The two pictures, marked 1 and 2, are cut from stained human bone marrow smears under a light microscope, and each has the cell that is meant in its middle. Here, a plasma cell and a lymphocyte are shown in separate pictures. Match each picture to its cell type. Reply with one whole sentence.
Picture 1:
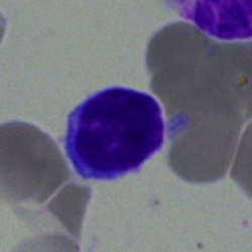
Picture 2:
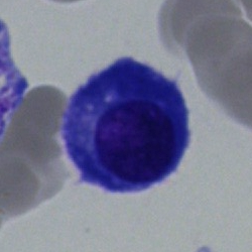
Picture 1 is of a lymphocyte, and picture 2 is of a plasma cell.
